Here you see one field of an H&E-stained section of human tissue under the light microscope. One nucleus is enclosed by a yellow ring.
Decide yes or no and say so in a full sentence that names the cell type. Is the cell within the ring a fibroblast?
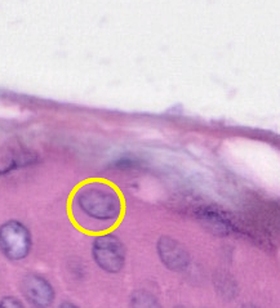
No, the cell within the ring qualifies as a suprabasal keratinocyte and does not qualify as a fibroblast.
